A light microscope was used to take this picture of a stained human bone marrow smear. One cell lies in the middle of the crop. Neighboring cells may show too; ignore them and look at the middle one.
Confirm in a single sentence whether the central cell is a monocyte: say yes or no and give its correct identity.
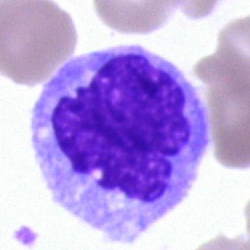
Yes, the middle cell is properly termed a monocyte.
